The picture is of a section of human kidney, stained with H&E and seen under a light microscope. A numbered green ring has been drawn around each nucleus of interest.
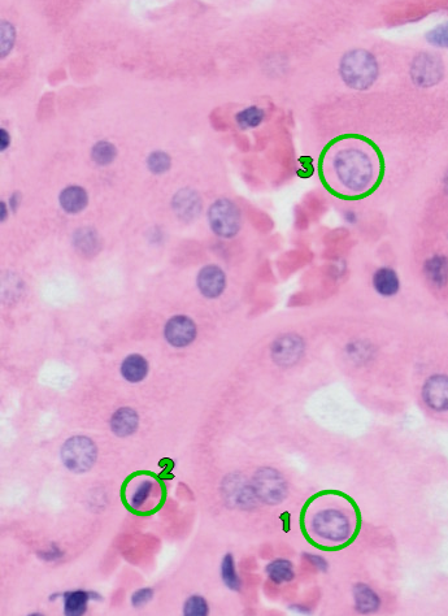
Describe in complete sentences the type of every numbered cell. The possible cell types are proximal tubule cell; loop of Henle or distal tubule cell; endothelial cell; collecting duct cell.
Cells 1 and 3 are proximal tubule cells. Cell 2 is an endothelial cell.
